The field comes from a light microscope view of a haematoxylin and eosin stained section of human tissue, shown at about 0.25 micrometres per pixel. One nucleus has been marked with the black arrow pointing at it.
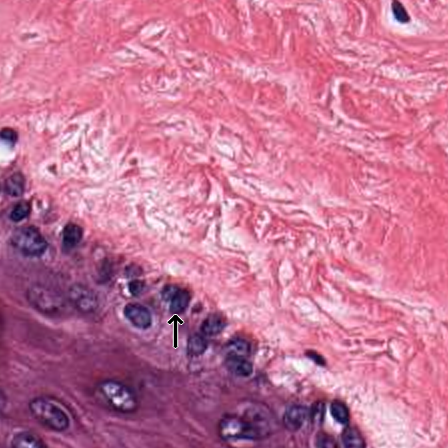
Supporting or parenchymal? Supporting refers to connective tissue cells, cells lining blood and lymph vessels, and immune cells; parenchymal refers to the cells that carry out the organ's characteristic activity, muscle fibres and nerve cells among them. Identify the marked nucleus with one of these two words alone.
parenchymal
